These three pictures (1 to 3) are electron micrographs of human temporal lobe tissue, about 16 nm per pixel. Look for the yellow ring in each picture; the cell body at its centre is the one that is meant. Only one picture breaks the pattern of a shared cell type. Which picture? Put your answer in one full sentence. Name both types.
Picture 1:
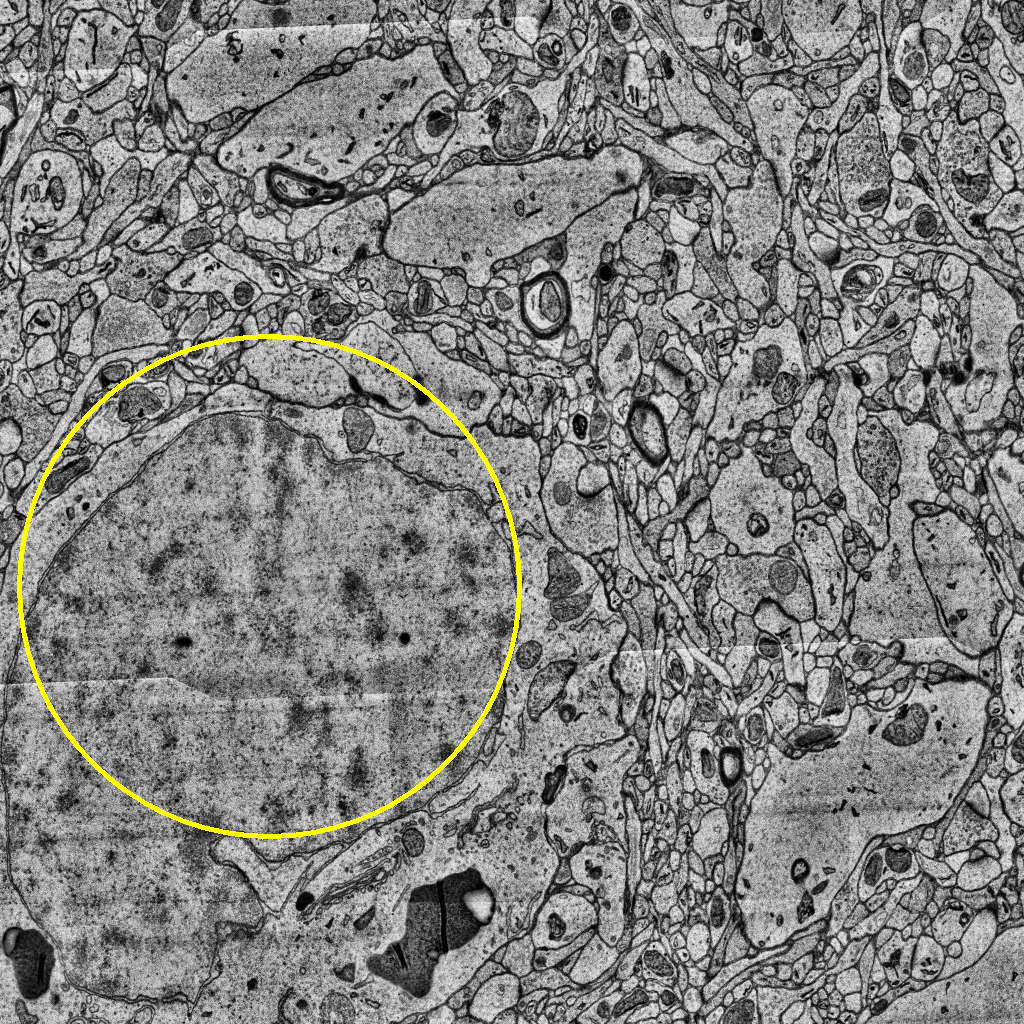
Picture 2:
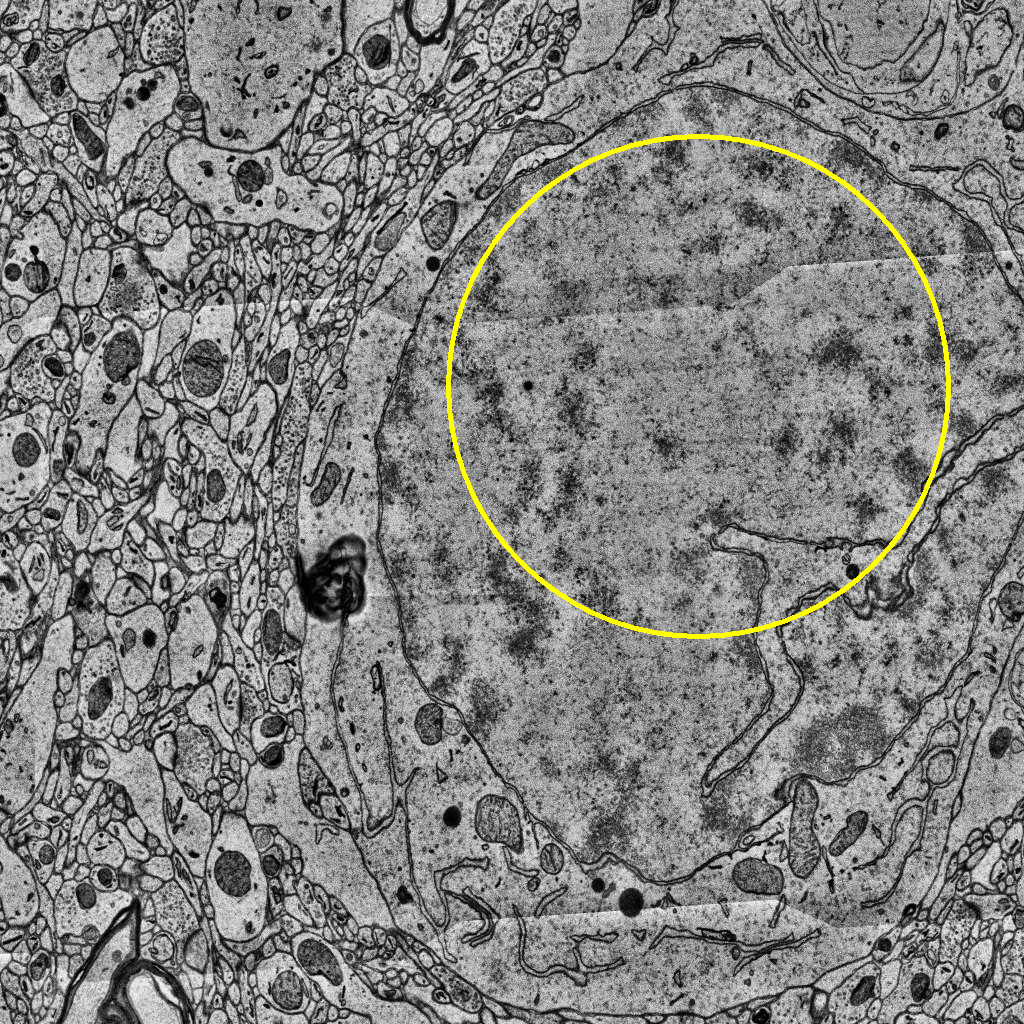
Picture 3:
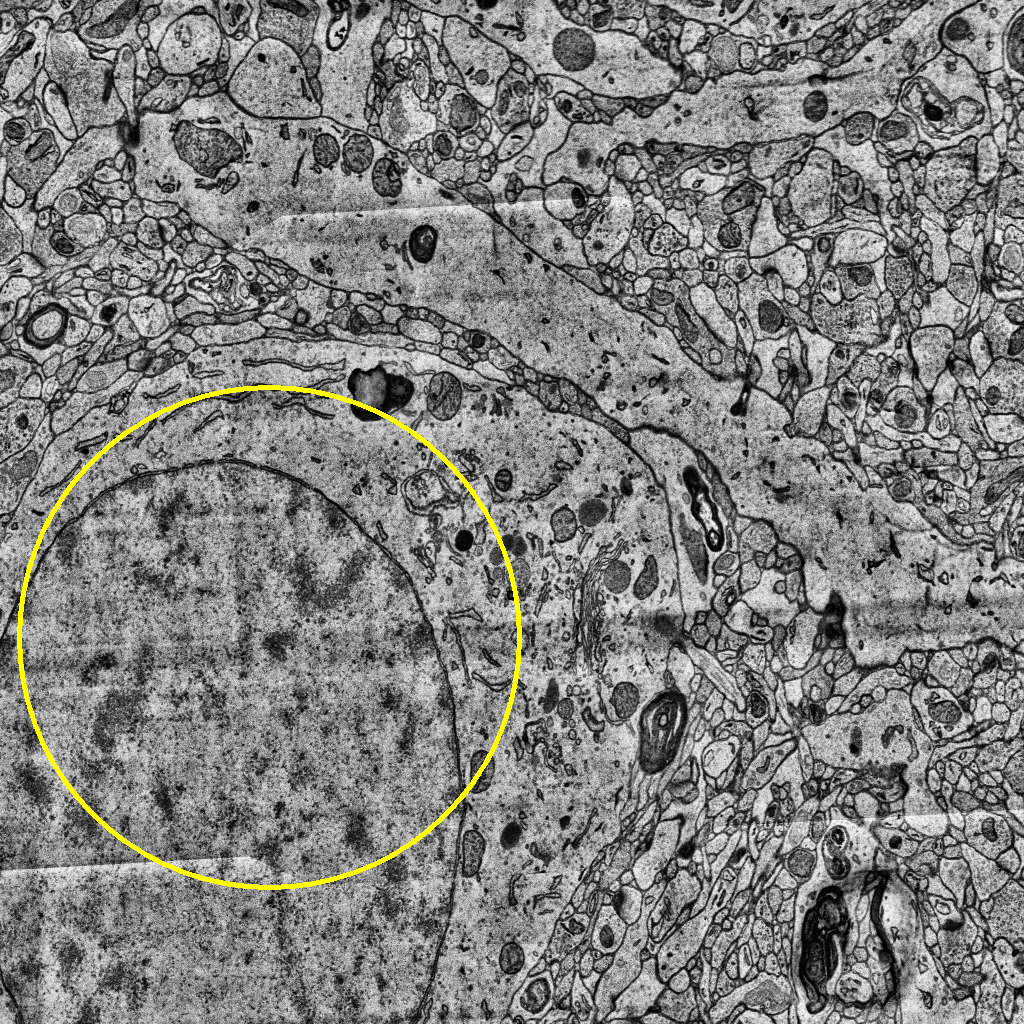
All pictures except 3 show interneurons; picture 3 shows a pyramidal neuron.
